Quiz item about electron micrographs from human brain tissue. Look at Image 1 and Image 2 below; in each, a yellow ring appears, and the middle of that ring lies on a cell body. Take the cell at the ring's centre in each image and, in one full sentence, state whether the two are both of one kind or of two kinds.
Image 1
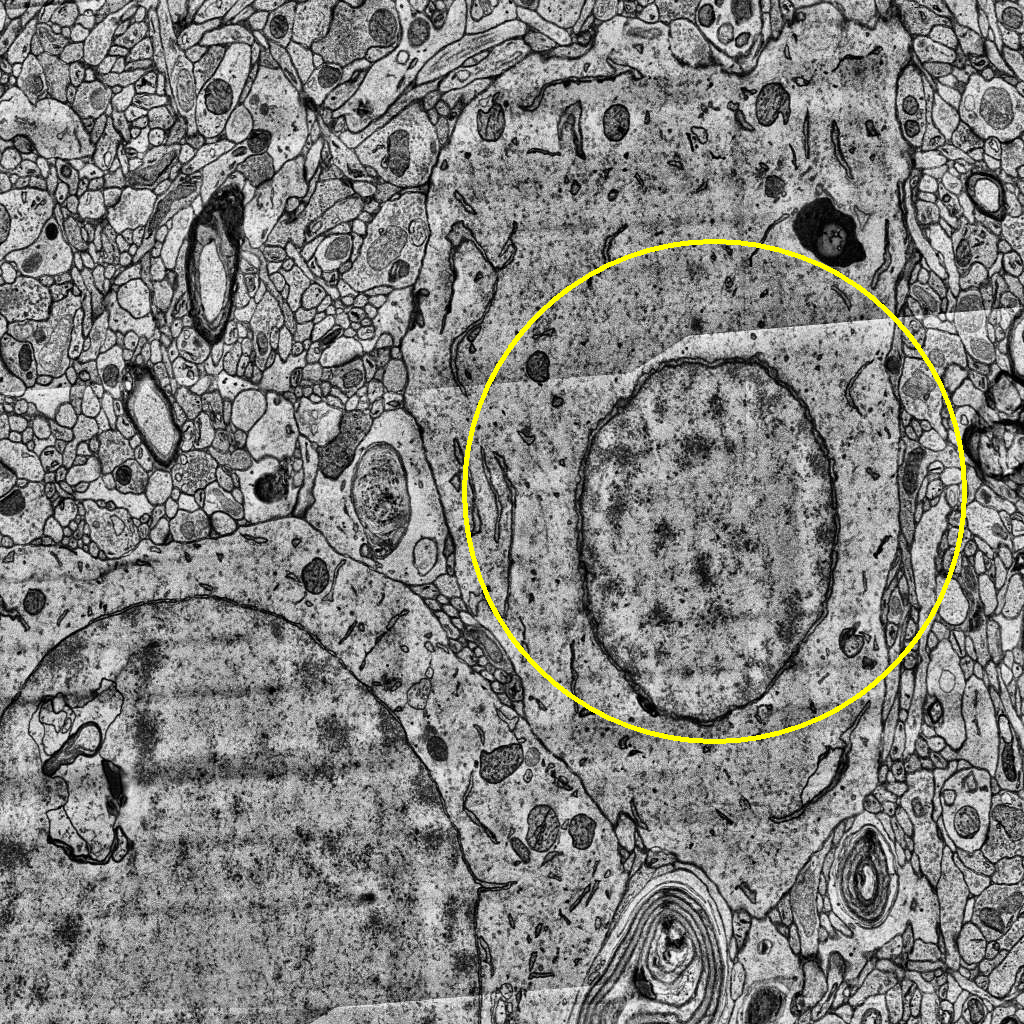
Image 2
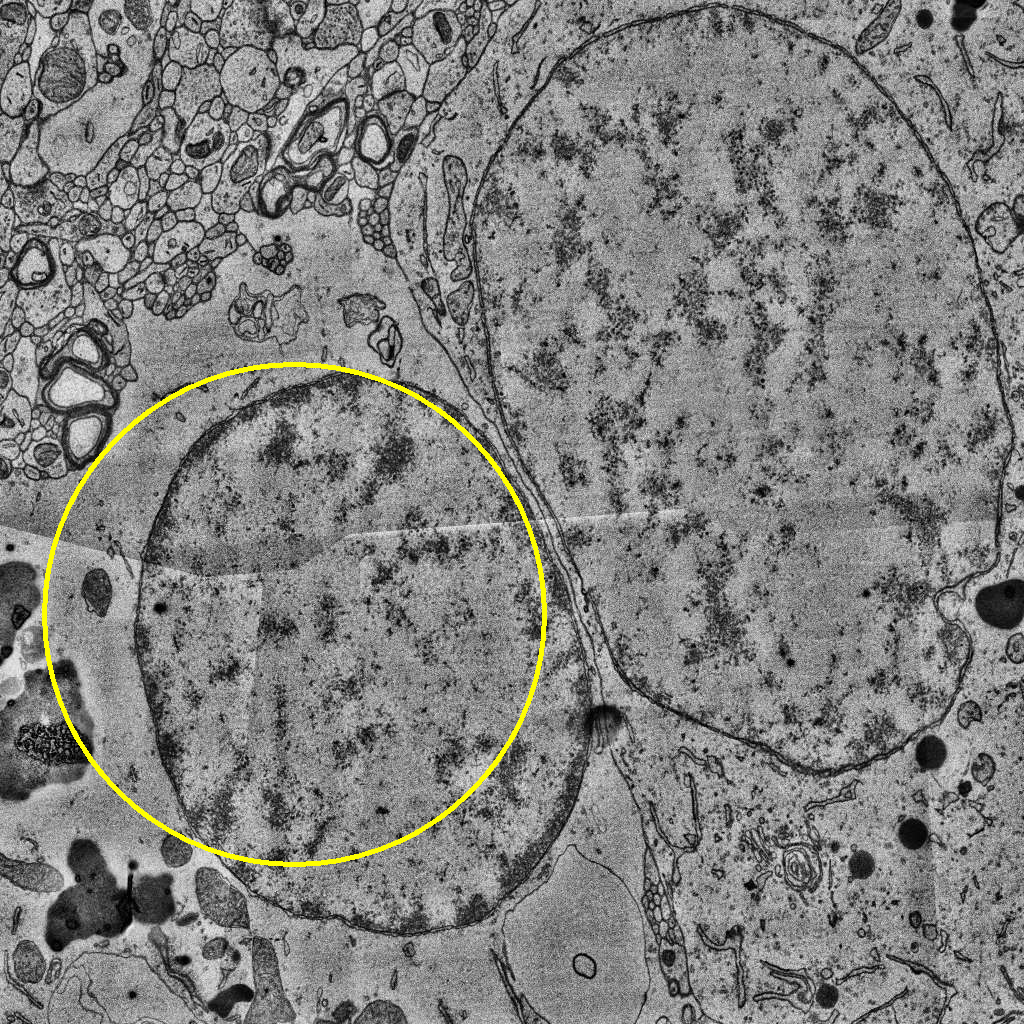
In Image 1 and Image 2, the cells at the ring centres are of two kinds.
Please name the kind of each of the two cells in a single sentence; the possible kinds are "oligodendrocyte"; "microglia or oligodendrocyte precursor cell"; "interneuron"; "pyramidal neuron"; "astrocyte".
The first is a pyramidal neuron and the second is an astrocyte.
